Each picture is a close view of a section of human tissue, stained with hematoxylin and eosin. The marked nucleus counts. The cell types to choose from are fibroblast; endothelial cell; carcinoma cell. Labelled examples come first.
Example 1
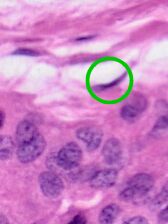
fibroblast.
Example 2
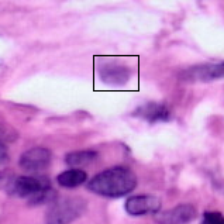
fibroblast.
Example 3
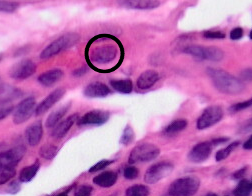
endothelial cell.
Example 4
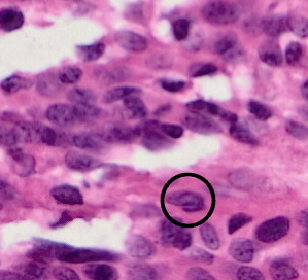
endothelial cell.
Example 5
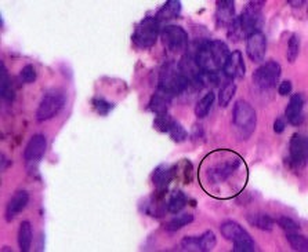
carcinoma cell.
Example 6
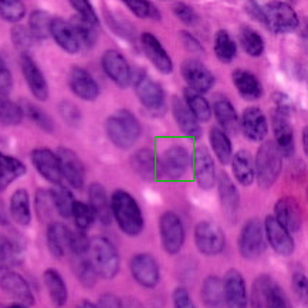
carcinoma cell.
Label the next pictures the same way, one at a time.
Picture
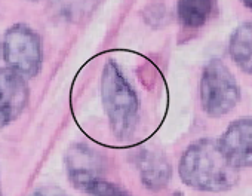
endothelial cell.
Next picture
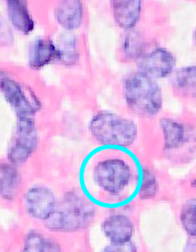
carcinoma cell.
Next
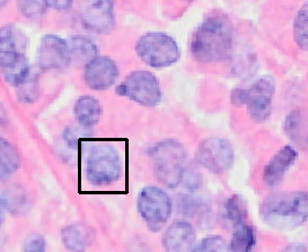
carcinoma cell.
